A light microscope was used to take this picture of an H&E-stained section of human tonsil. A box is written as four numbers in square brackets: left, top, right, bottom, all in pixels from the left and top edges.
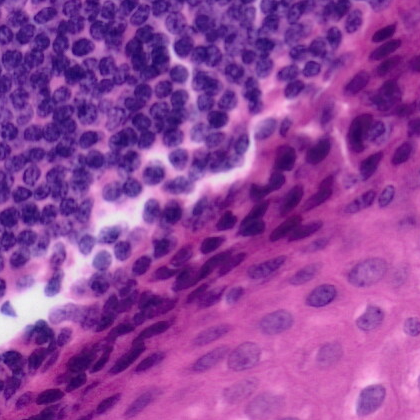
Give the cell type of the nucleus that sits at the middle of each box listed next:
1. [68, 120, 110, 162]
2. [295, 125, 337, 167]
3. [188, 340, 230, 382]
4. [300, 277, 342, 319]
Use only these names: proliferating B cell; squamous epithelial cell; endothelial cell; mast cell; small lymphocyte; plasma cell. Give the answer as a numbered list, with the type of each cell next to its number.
1. small lymphocyte
2. squamous epithelial cell
3. squamous epithelial cell
4. squamous epithelial cell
